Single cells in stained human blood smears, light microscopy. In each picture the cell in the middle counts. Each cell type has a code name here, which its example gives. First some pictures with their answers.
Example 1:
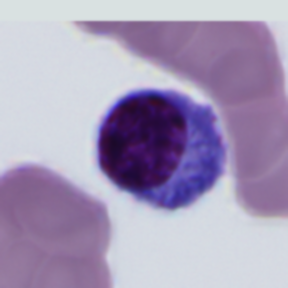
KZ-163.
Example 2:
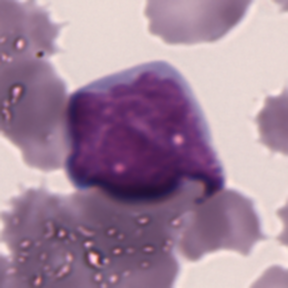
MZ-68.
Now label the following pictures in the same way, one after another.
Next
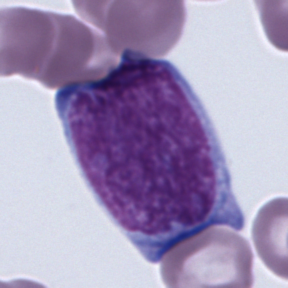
MZ-68.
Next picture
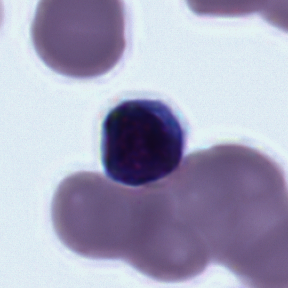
KZ-163.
